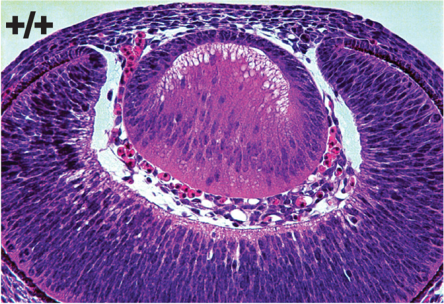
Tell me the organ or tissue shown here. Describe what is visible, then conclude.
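Lens. A round body of pink, elongated cells sits in a cup of densely packed purple cells. A thin layer of cuboidal cells lines its front surface. Loose tissue with small vessels surrounds it.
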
